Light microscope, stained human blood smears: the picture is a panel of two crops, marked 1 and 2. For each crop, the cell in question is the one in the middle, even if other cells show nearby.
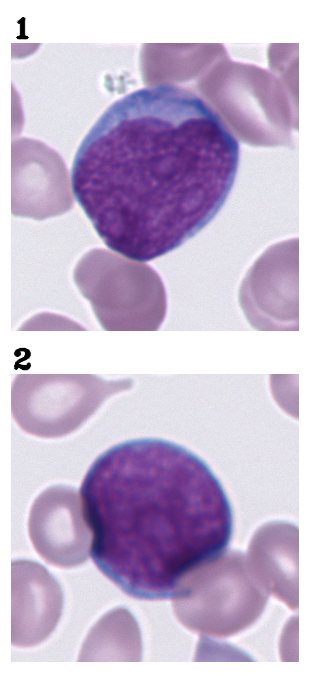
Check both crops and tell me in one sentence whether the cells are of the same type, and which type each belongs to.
Yes, myeloblasts are the cells in the middle of both crops.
